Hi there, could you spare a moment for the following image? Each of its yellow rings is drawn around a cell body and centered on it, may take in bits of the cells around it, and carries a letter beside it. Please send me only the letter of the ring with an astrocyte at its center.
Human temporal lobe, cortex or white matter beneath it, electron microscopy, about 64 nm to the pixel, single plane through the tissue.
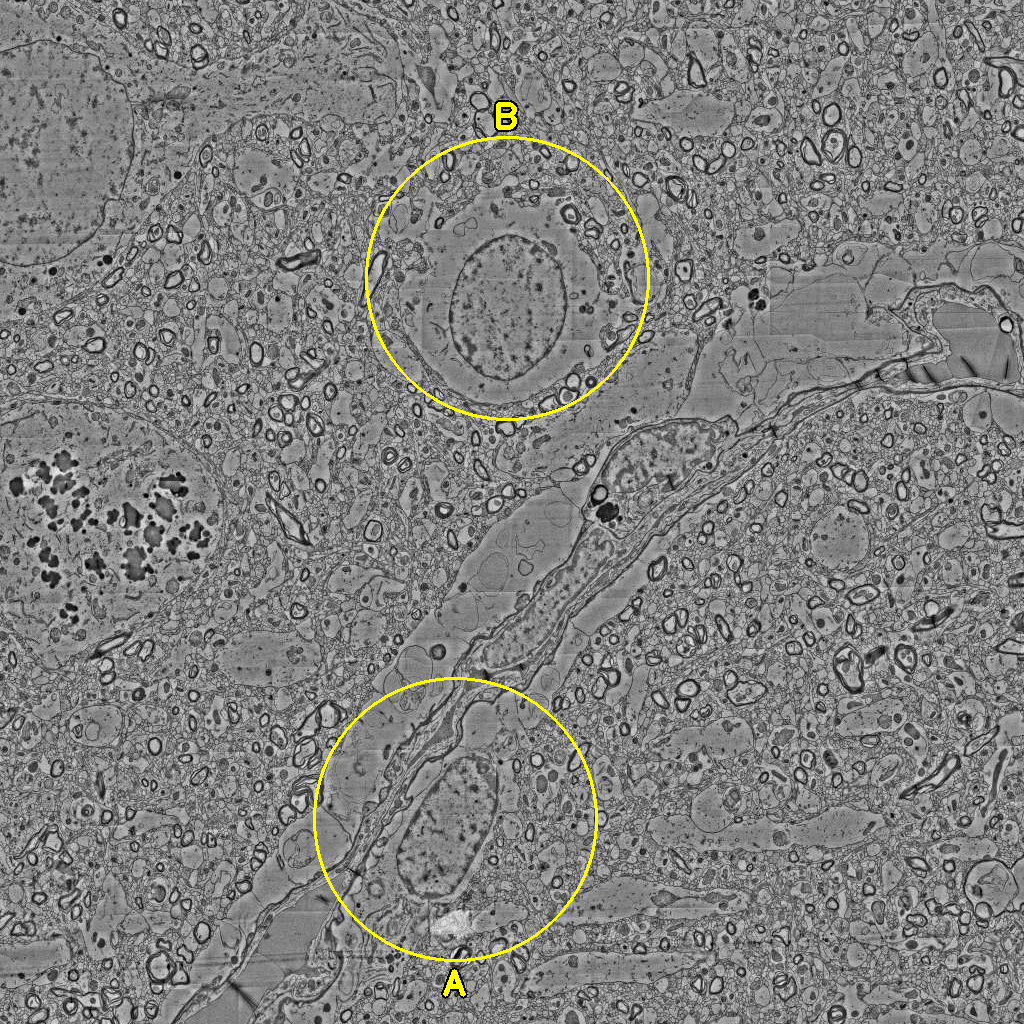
B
